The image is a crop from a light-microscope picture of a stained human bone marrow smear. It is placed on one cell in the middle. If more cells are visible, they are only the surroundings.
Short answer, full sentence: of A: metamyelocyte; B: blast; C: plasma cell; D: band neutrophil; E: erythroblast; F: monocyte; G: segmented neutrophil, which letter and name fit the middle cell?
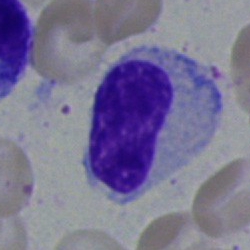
Option A, which names the central cell as a metamyelocyte, is correct.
